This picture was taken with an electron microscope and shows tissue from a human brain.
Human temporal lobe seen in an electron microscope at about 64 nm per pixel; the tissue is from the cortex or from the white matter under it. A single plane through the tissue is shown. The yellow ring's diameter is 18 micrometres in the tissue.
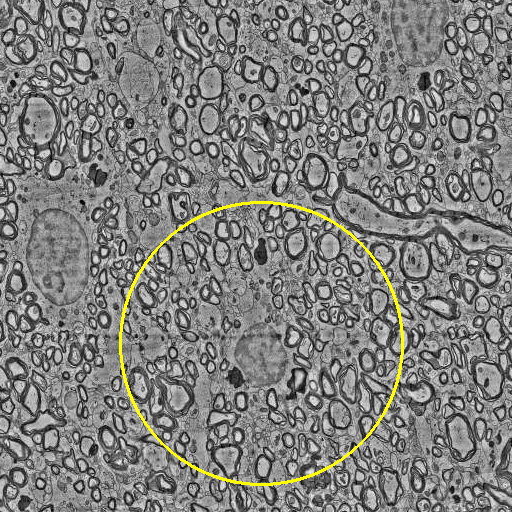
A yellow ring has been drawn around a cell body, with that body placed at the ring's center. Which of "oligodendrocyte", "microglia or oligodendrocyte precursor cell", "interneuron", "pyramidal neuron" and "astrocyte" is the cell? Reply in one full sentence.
In this picture, an oligodendrocyte is the cell at the center of the yellow ring.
